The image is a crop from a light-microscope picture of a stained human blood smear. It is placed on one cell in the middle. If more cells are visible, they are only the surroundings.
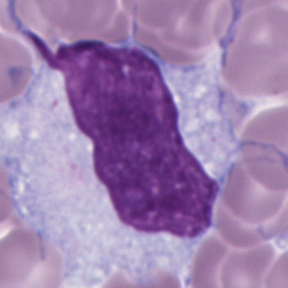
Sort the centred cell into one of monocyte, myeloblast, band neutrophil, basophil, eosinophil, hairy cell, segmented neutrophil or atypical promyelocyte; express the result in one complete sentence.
By classification, the middle cell of this crop is a monocyte.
